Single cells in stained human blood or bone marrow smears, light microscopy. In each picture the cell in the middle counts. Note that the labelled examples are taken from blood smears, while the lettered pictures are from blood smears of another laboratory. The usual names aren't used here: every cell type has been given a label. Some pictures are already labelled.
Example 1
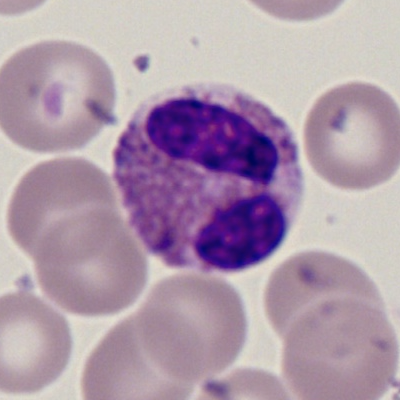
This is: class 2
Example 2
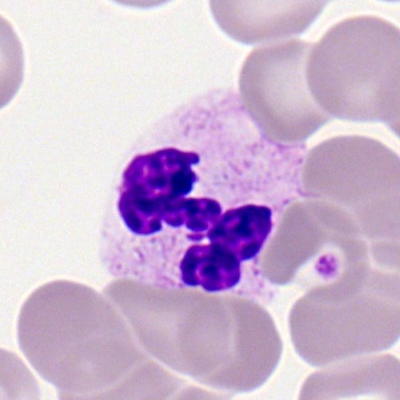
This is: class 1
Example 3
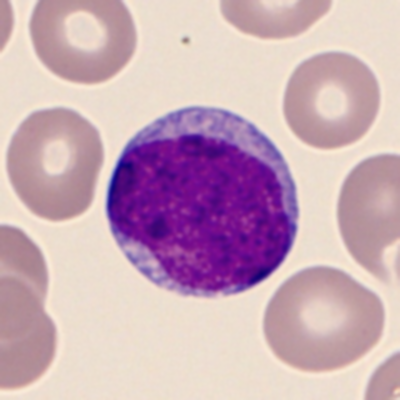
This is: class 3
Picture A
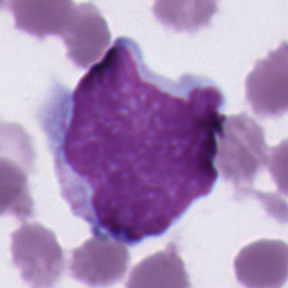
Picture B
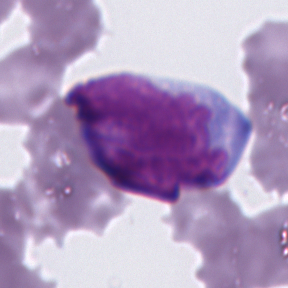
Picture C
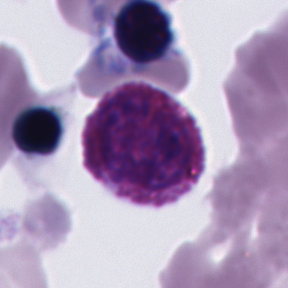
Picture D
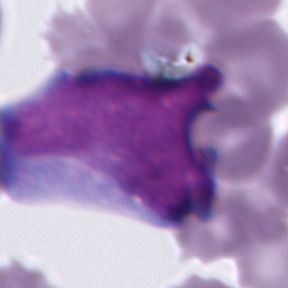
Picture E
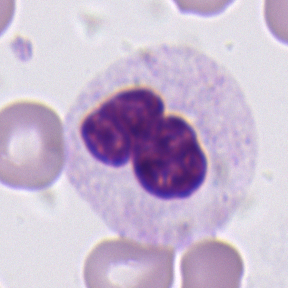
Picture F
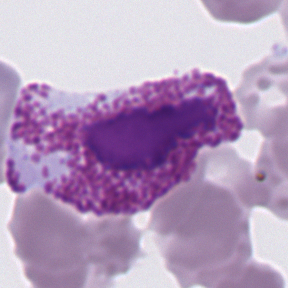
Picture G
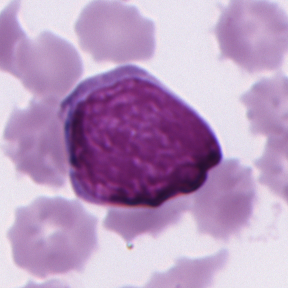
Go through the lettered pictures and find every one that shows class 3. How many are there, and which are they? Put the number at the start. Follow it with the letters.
4, namely A, B, D, G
